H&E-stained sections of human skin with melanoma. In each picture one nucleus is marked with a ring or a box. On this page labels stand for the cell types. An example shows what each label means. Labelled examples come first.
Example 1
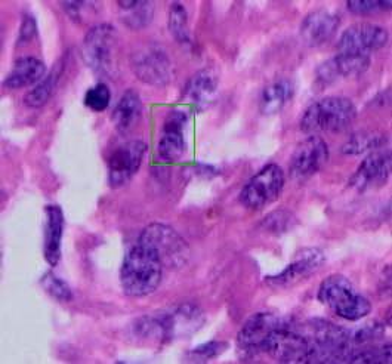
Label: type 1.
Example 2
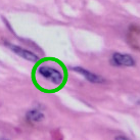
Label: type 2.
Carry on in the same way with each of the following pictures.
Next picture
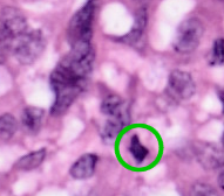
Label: type 2.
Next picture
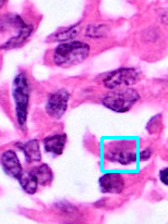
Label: type 1.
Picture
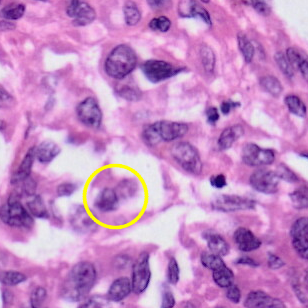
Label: type 1.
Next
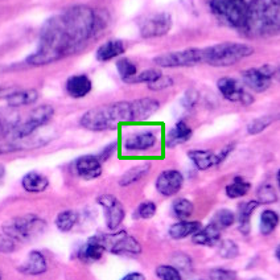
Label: type 2.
